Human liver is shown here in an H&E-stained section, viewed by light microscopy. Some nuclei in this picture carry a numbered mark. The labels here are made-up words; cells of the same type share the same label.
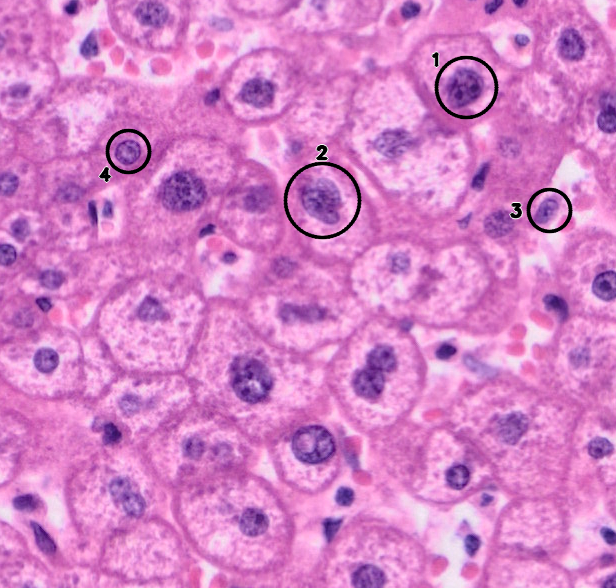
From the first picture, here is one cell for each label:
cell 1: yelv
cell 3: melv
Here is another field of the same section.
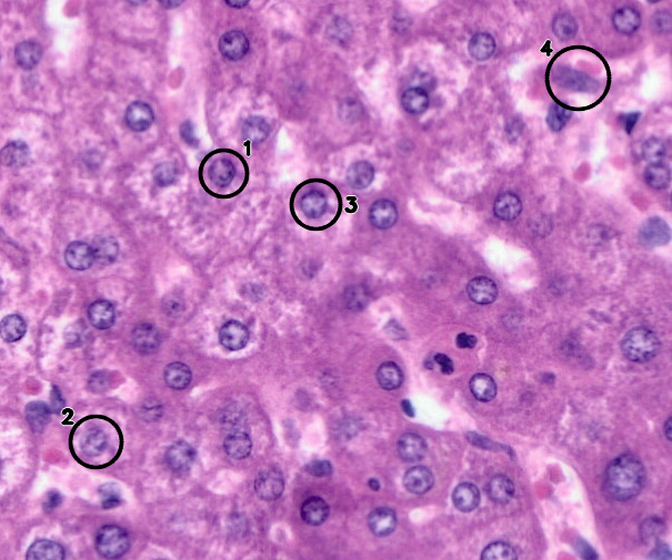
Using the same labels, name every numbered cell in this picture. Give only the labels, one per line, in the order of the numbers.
yelv
yelv
yelv
melv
